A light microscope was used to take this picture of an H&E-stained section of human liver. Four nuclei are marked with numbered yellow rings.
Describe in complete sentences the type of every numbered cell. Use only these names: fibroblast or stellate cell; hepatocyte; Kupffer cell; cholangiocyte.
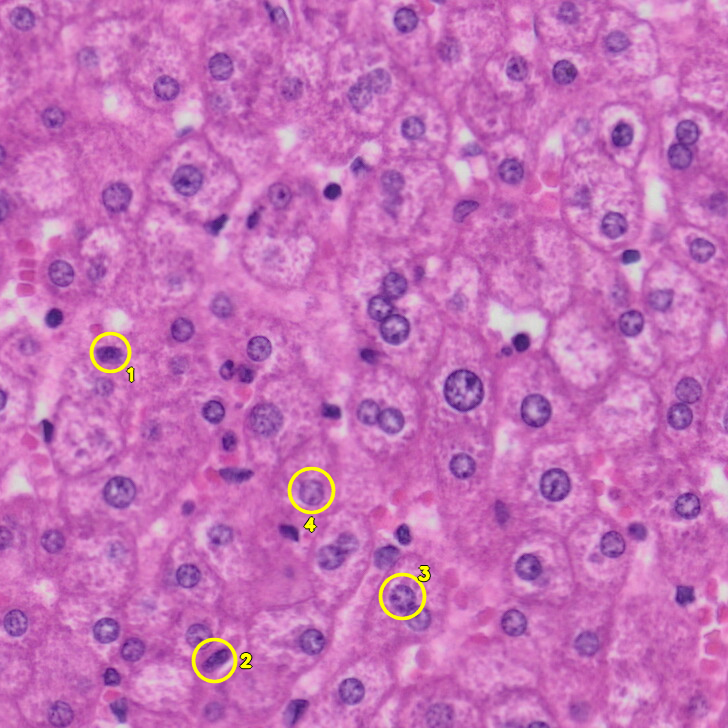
Cell 1 is a fibroblast or stellate cell. Cell 2 is a Kupffer cell. Cells 3 and 4 are hepatocytes.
